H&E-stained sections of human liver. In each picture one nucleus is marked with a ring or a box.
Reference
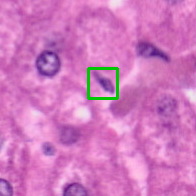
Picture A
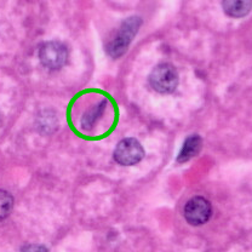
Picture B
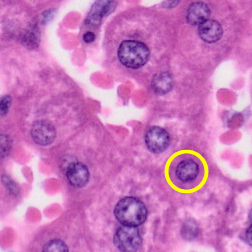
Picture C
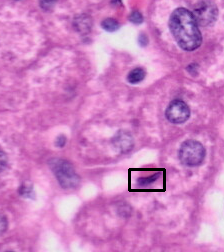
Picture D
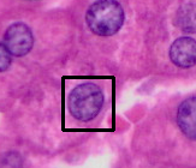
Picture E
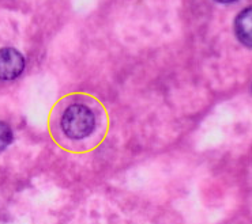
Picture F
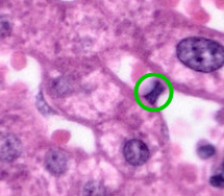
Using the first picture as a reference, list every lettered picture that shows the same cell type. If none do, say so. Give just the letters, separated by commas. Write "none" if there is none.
A, C, F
